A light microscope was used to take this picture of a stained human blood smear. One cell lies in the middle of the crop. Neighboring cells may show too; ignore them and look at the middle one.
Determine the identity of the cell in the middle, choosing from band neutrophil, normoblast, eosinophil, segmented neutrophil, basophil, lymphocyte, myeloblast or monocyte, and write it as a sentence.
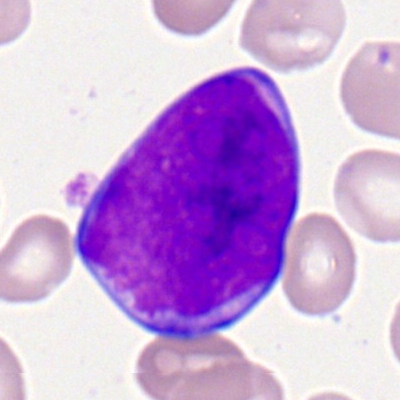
Where the crop is centred, there is a myeloblast.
